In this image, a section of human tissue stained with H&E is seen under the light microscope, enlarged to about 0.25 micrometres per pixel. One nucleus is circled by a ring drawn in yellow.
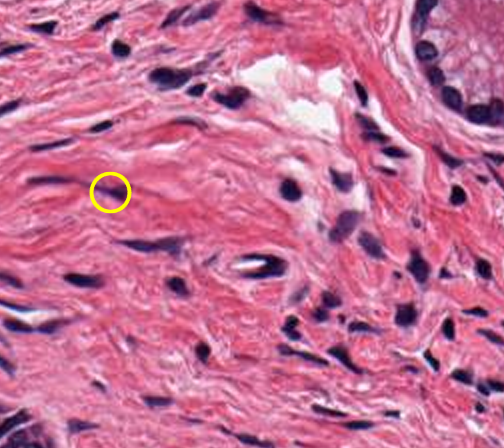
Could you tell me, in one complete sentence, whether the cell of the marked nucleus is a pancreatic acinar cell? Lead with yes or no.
No, the cell that carries the marked nucleus is a supporting cell, not a pancreatic acinar cell.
